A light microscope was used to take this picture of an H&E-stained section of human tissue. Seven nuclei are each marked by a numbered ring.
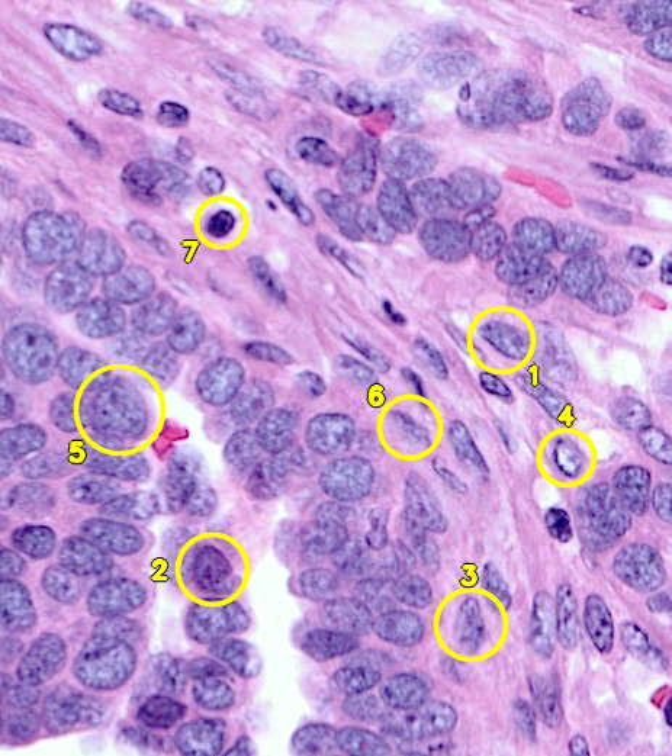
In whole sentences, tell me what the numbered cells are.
Cell 1 is a fibroblast, cell 2 is a carcinoma cell, cell 3 is a fibroblast, cell 4 is a fibroblast, cell 5 is a carcinoma cell, cell 6 is a fibroblast and cell 7 is a lymphocyte.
